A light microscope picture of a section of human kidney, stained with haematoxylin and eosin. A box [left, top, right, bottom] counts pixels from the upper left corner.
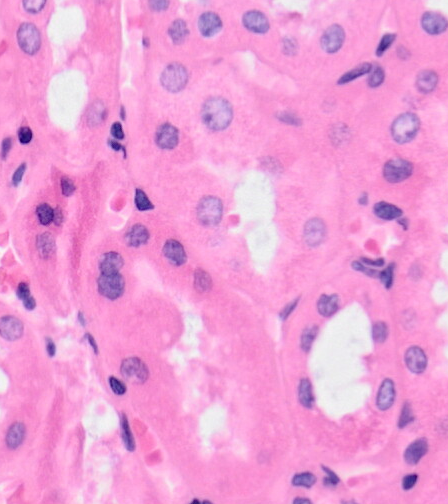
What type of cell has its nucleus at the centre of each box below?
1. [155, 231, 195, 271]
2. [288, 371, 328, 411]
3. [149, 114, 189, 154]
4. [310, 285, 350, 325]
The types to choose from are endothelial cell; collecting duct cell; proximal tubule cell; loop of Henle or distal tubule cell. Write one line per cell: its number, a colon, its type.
1: proximal tubule cell
2: loop of Henle or distal tubule cell
3: proximal tubule cell
4: loop of Henle or distal tubule cell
